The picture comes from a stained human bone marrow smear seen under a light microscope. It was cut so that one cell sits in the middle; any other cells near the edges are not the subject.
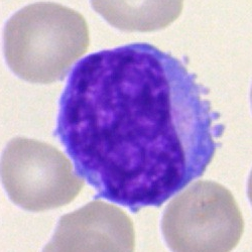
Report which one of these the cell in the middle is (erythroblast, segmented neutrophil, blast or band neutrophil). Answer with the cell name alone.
blast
